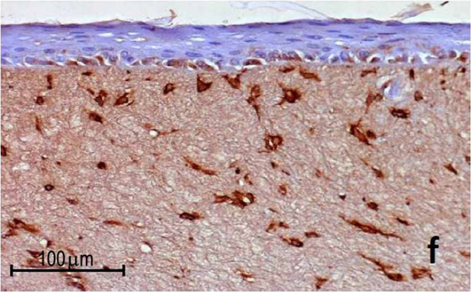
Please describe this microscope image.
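This shows a thin stratified epithelium over a thick stromal layer containing scattered fibroblasts. The stroma below has a light brown background in which many spindle-shaped and stellate cells are stained dark brown. These stromal fibroblasts are spread out singly and oriented in various directions, some with long cytoplasmic processes. The border between the epithelium and the stroma is flat, without downward projections.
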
